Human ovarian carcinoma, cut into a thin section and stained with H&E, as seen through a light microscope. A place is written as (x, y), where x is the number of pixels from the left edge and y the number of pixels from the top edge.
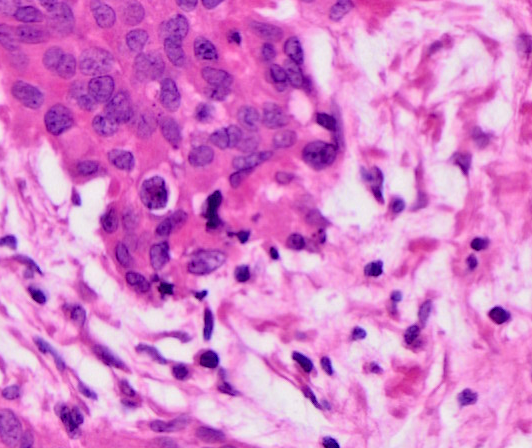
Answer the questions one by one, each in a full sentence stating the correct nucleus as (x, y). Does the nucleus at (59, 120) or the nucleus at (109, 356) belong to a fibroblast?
Housed in a fibroblast is the nucleus at (109, 356), not the other one.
